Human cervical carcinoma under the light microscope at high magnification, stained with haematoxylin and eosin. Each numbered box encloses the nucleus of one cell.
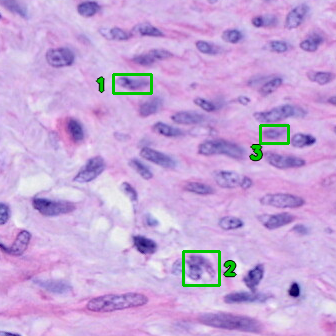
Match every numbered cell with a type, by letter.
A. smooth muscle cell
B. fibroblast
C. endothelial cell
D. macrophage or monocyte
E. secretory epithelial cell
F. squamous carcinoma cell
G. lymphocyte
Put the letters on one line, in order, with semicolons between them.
A; D; A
